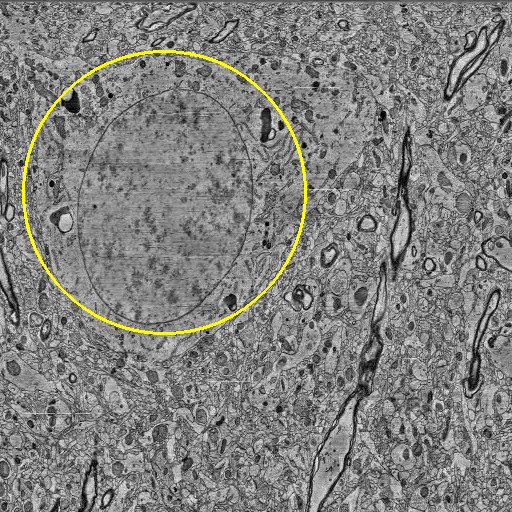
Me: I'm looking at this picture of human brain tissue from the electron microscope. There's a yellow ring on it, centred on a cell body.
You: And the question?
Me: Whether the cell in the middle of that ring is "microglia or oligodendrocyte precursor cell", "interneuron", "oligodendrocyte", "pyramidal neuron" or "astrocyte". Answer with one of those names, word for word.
pyramidal neuron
